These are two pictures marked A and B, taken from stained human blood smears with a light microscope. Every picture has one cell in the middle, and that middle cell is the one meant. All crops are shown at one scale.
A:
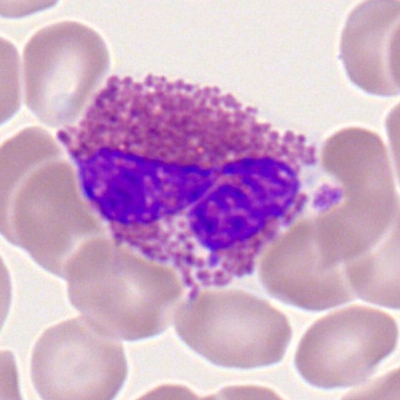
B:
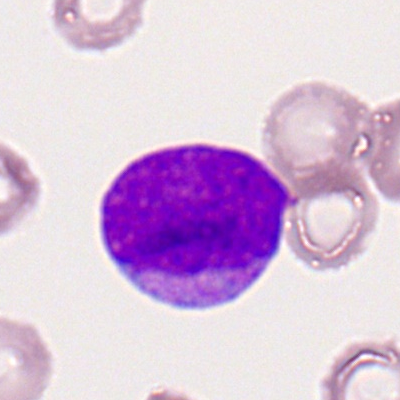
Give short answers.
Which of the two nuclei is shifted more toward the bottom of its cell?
A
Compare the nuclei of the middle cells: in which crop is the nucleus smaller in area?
A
